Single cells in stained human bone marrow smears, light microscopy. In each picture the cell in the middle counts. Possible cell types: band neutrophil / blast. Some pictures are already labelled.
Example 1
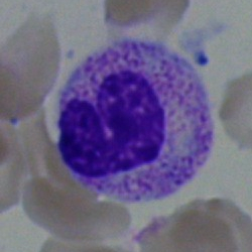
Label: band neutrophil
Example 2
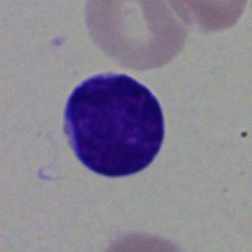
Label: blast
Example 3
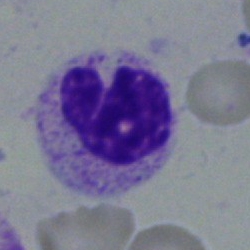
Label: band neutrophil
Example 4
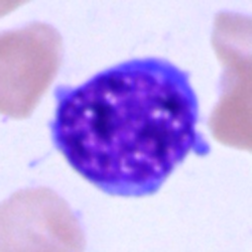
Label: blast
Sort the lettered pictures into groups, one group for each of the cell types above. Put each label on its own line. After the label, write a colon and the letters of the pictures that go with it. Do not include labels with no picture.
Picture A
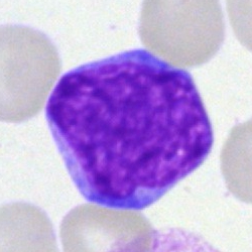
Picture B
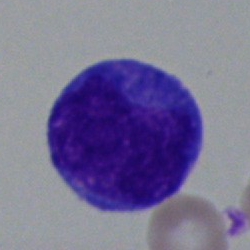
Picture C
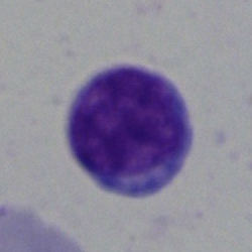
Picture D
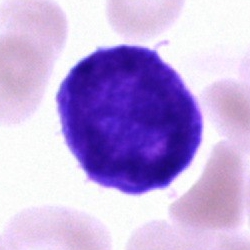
blast: A, B, C, D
